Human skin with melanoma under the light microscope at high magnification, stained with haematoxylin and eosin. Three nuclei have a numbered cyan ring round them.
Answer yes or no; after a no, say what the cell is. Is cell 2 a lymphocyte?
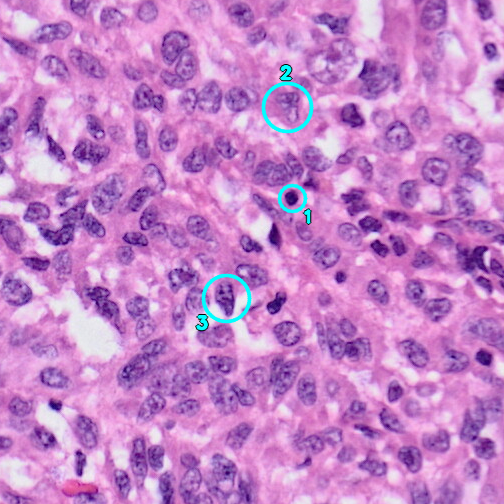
No, it is a melanoma cell.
